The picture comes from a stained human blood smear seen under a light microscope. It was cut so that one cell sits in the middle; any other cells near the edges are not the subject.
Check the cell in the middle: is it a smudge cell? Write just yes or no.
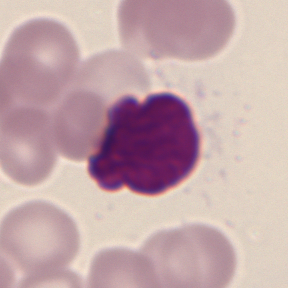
yes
